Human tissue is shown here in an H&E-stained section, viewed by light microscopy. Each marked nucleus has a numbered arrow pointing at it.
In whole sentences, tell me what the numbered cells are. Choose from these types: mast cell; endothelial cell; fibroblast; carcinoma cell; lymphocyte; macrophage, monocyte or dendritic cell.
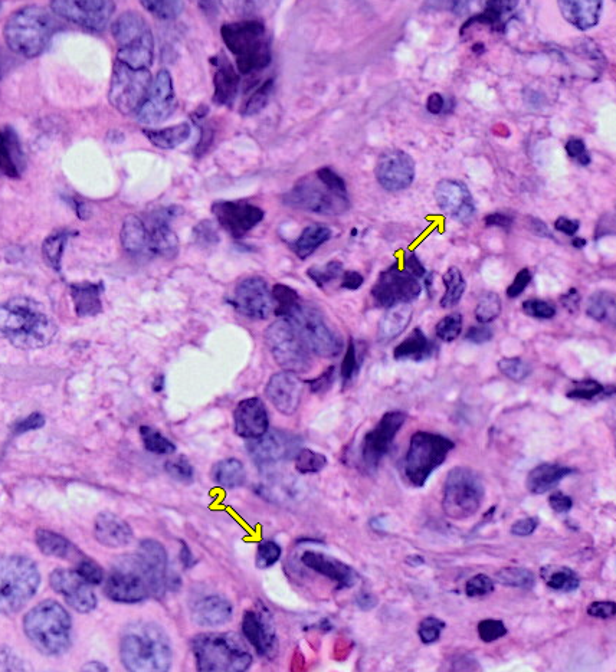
Cell 1 is a macrophage, monocyte or dendritic cell and cell 2 is a lymphocyte.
